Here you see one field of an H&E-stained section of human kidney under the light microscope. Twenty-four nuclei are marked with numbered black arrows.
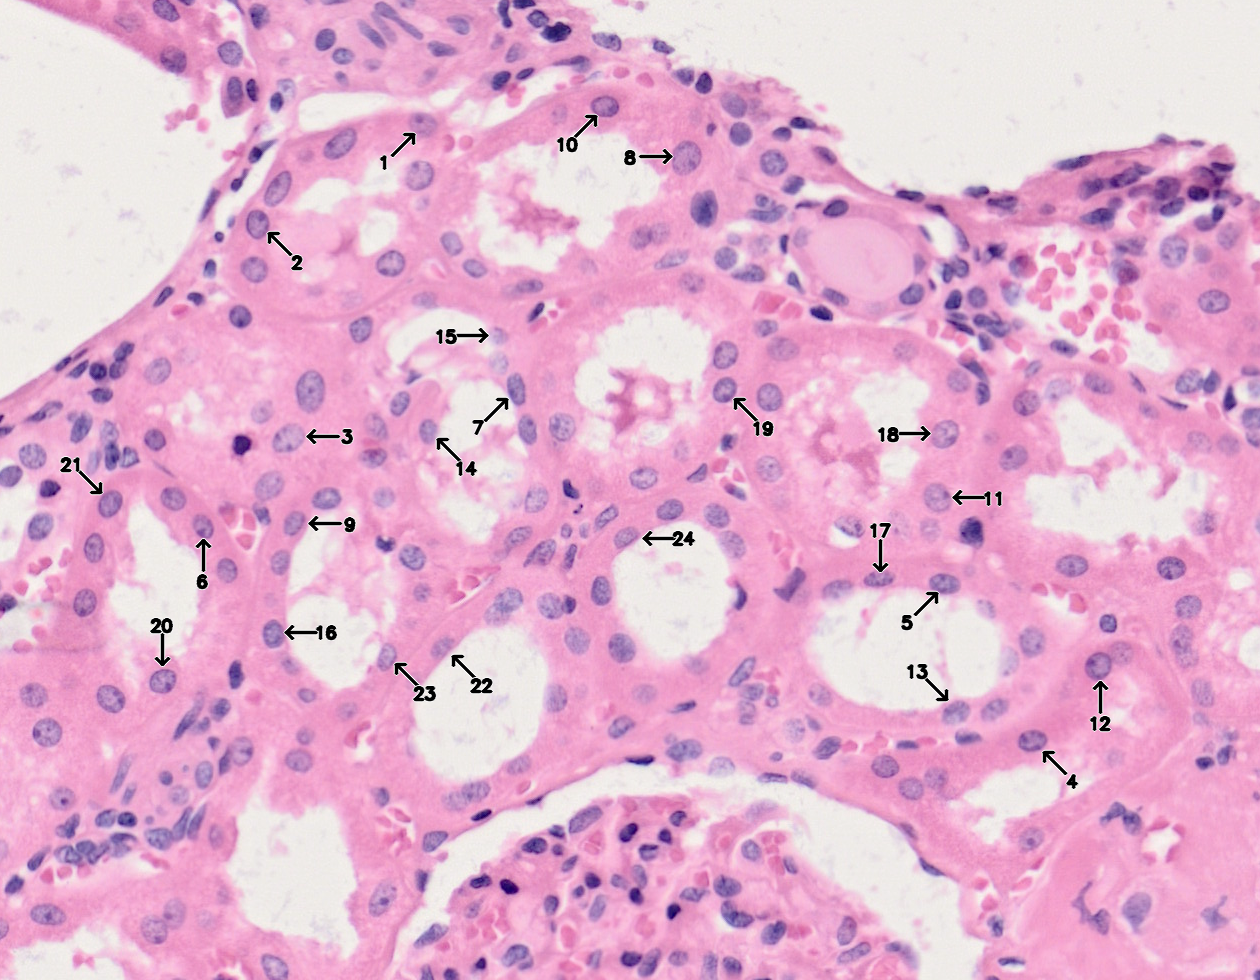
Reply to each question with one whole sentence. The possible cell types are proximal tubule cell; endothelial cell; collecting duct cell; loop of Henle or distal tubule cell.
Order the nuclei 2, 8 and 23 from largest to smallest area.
By area, largest first, they run 8, 2, 23.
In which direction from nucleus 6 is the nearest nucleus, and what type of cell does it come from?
It is an endothelial cell, whose nucleus lies above and to the right of nucleus 6.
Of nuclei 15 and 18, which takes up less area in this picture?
It is nucleus 15; nucleus 18 has about 2.5 times its area.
